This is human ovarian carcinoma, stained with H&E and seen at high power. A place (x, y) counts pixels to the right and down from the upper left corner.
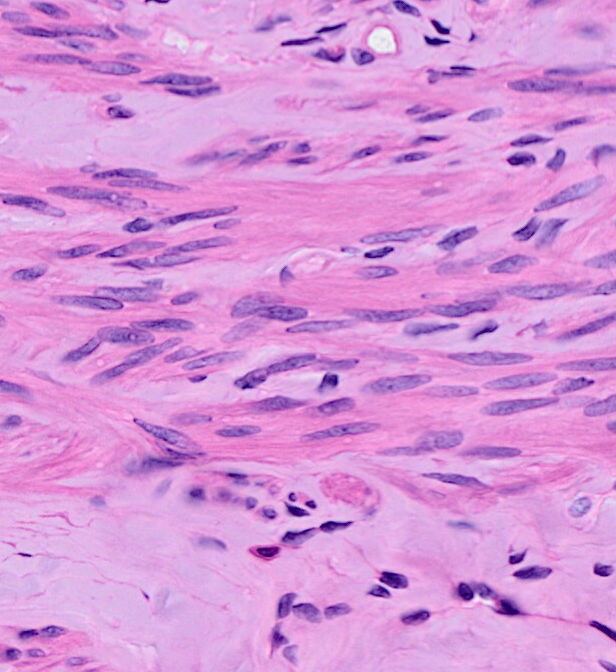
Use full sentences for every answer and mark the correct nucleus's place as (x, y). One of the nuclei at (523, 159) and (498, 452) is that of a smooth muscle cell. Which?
The nucleus at (498, 452) is housed in a smooth muscle cell.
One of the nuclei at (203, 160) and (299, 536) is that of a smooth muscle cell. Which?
At (203, 160) lies the nucleus that belongs to a smooth muscle cell.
